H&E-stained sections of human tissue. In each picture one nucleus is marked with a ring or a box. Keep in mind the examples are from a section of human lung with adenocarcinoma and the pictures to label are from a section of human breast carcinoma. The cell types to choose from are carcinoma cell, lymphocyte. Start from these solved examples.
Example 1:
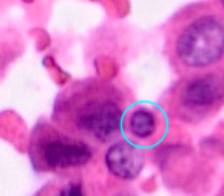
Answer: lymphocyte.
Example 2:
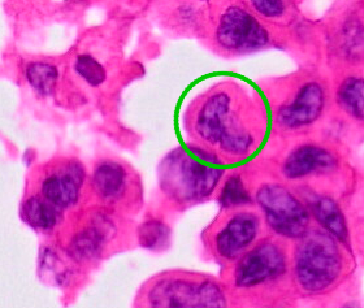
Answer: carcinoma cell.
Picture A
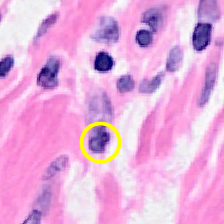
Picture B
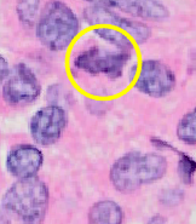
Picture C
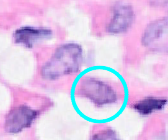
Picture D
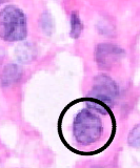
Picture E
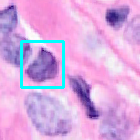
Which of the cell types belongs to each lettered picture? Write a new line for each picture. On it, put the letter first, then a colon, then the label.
A: lymphocyte.
B: carcinoma cell.
C: carcinoma cell.
D: carcinoma cell.
E: carcinoma cell.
